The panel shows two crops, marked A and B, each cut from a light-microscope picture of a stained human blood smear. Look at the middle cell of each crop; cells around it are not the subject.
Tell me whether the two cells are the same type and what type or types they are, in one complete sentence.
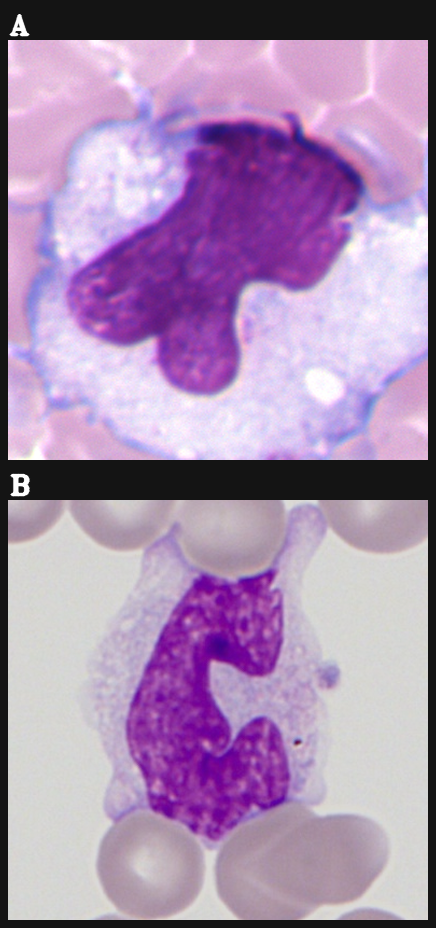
Yes, at the centre of both crops are monocytes.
